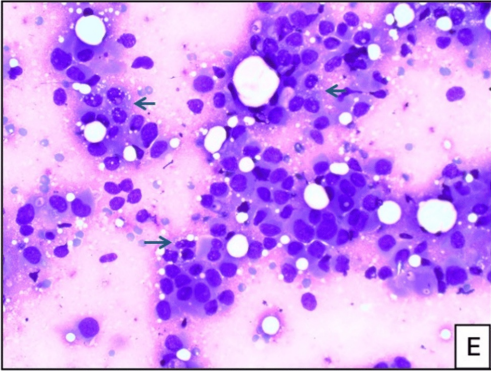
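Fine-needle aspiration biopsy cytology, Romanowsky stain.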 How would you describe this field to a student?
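Tumor cells lie in loosely cohesive clusters with some cells dispersed singly on a pale pink background. The cells have round to oval, dark purple nuclei and moderate amounts of blue-purple cytoplasm. Many round clear vacuoles of varying size are present in the cytoplasm, some larger than a nucleus. Small scattered red blood cells are seen in the background.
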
